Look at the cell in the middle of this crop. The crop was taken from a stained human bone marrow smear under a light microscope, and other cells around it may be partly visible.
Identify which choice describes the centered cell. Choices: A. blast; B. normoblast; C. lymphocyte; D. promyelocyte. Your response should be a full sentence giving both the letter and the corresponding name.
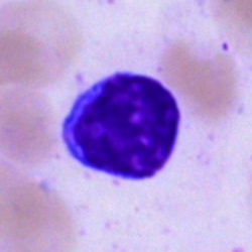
Seen at the centre of the crop is a lymphocyte, so option C is correct.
